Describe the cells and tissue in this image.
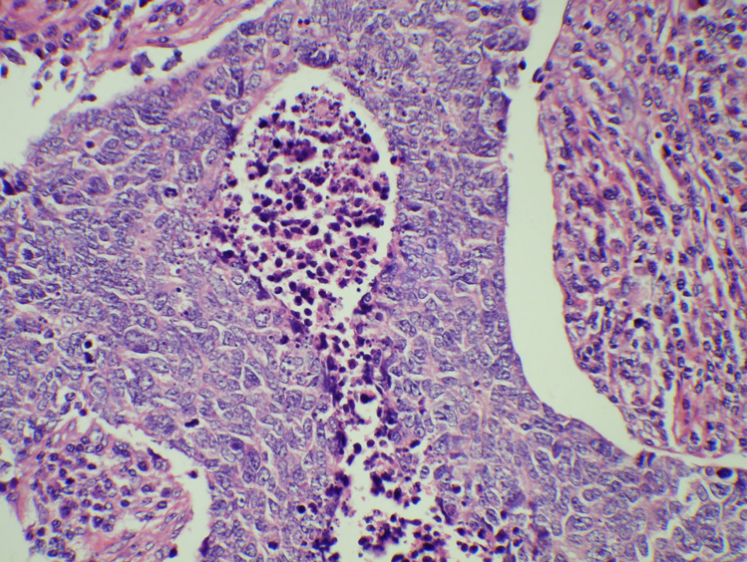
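This is a tumor stained pink and purple, with its cells arranged in broad ribbons and trabeculae separated by empty clear spaces. In the centre, an area of necrosis lies within one band: a rounded space filled with dark, fragmented nuclear debris. This debris spills downward as a narrow streak through the tumor.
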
